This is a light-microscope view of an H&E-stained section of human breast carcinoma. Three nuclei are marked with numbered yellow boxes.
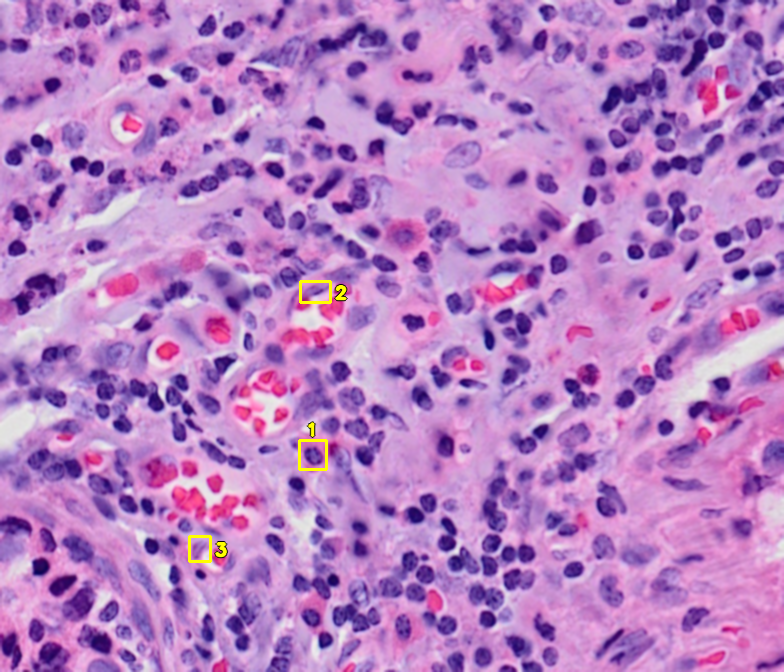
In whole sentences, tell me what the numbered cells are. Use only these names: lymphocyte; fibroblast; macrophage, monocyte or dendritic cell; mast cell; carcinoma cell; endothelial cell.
Cell 1 is a mast cell, cell 2 is an endothelial cell and cell 3 is an endothelial cell.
